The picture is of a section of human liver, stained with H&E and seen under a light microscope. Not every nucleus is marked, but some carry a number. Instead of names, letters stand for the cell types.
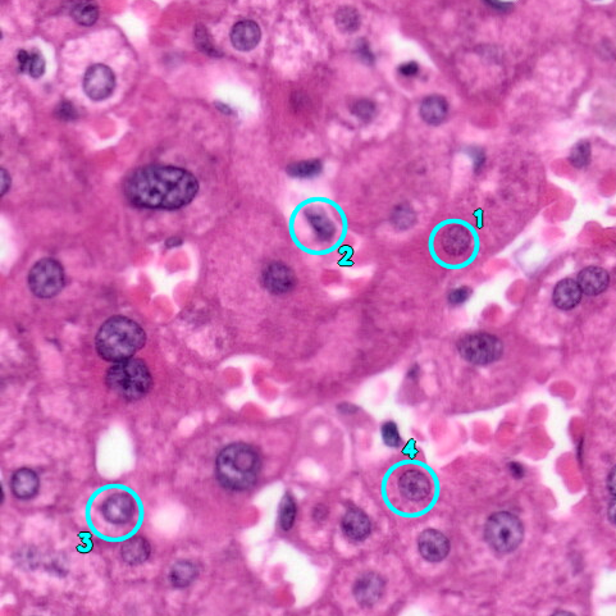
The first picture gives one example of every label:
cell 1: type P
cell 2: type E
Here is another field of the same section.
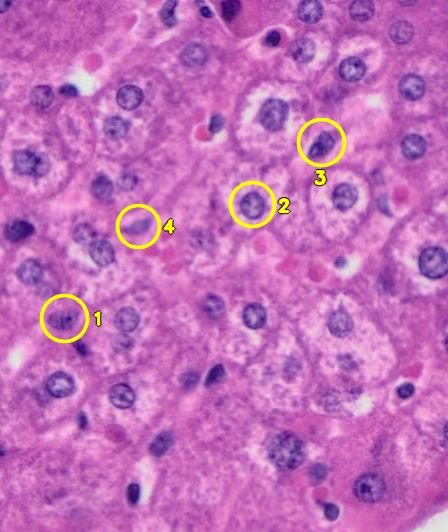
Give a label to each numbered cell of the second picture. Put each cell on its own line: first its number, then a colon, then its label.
1: type E
2: type P
3: type E
4: type E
